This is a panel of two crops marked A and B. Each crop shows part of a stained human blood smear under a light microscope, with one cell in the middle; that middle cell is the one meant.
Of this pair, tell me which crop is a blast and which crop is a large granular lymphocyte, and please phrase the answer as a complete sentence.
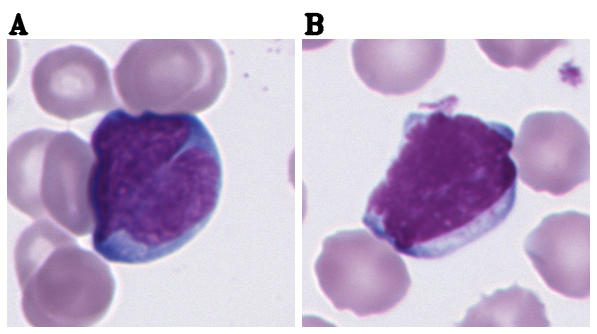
In short, crop A is a blast and crop B is a large granular lymphocyte.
